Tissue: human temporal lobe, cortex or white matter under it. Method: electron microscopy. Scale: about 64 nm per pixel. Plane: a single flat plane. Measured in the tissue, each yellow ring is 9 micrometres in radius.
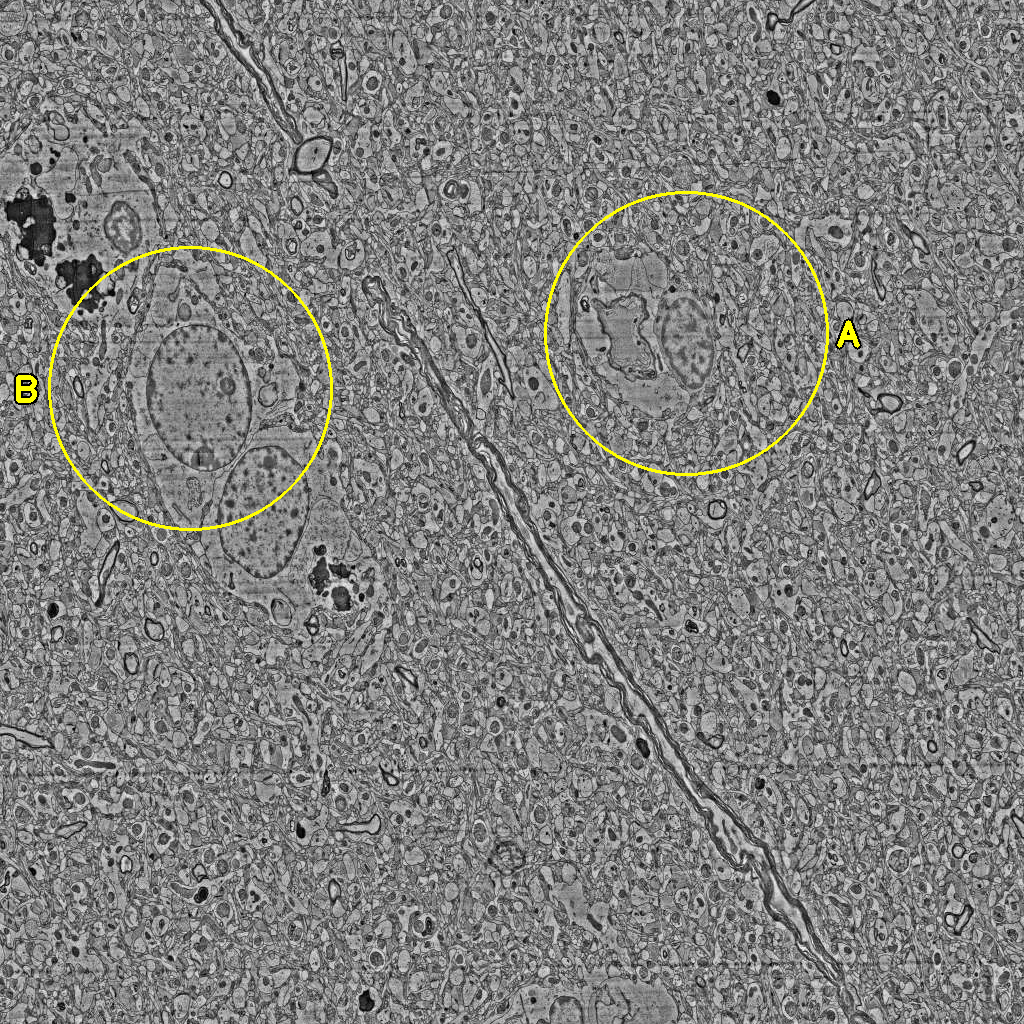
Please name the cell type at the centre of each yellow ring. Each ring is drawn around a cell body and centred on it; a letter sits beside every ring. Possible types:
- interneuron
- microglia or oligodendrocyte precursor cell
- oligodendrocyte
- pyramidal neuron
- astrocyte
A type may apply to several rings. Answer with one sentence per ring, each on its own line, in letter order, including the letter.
Ring A is centred on the cell body of an oligodendrocyte.
Ring B is centred on the cell body of an astrocyte.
